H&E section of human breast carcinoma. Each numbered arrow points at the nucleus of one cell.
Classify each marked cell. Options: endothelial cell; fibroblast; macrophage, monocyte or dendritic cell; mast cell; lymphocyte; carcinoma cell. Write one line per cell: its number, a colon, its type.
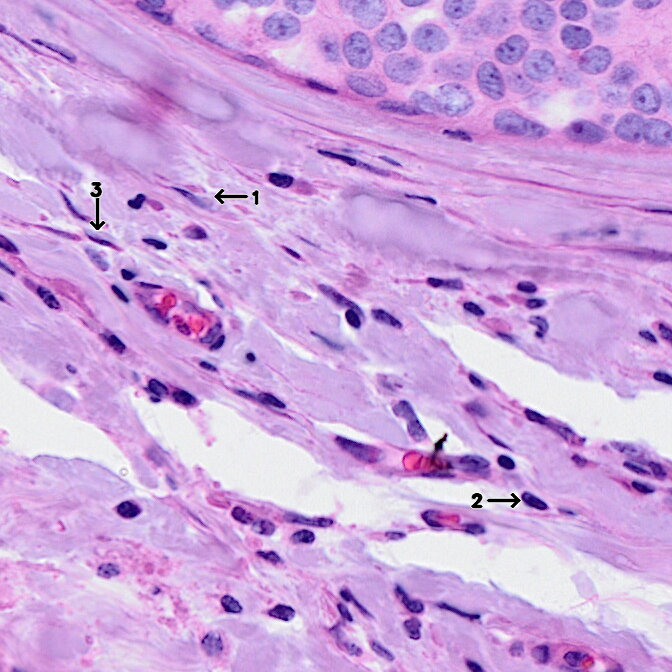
1: fibroblast
2: lymphocyte
3: fibroblast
